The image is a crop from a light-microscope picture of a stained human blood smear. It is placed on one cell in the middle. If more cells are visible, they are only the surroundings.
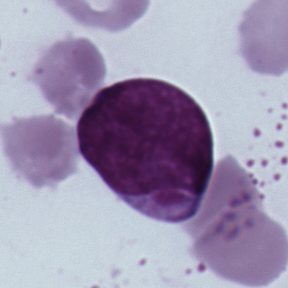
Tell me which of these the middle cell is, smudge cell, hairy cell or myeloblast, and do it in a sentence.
The central cell shown in this smear crop is a myeloblast.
